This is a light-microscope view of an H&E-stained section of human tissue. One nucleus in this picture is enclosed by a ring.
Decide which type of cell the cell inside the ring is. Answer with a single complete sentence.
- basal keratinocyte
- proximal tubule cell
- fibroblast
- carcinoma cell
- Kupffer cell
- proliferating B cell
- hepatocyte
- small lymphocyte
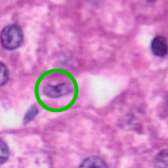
In cellular terms, the cell inside the ring is a Kupffer cell.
